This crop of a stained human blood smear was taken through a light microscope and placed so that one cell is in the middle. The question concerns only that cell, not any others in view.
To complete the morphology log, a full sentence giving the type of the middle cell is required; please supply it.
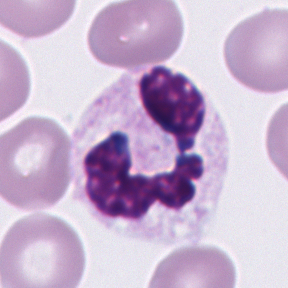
The center cell of this crop is a segmented neutrophil.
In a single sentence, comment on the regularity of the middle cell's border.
Its surface contour is regular and smooth, without any protrusions.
